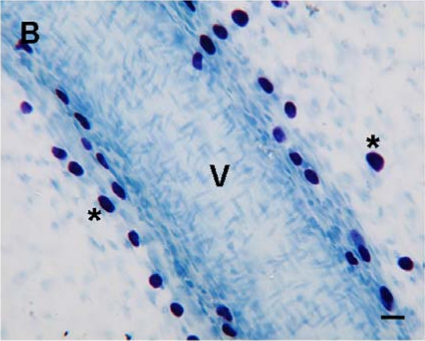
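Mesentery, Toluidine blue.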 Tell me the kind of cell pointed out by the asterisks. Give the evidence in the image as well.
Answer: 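Mature mast cells. Many similar cells line both sides of the vessel.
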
